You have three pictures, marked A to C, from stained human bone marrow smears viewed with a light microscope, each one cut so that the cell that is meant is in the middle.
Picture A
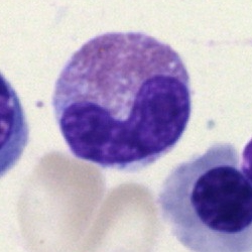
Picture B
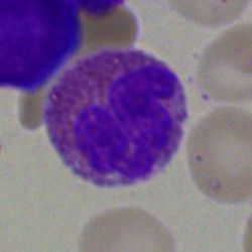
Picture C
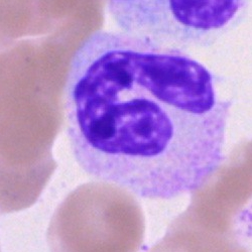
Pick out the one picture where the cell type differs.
C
